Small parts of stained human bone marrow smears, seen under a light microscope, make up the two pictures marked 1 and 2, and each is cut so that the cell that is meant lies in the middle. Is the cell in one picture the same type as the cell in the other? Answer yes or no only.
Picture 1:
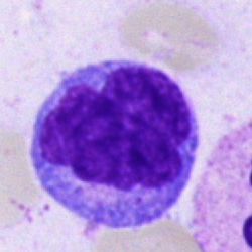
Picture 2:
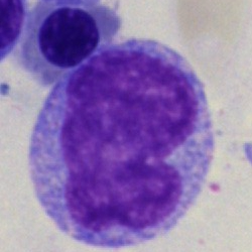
yes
